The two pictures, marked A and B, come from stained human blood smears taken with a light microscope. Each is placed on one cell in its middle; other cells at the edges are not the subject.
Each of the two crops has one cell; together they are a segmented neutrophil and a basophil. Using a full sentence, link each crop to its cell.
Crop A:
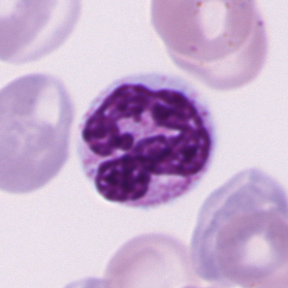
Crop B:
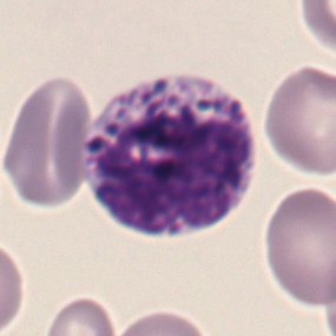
Well, crop A is a segmented neutrophil, and crop B is a basophil.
